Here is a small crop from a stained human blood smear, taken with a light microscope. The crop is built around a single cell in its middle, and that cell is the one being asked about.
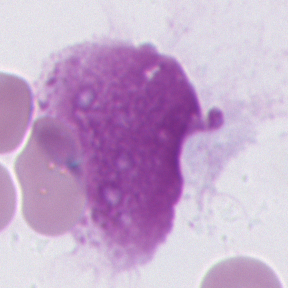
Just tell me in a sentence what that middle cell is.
To answer, the cell in the center of the crop is a smudge cell.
